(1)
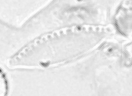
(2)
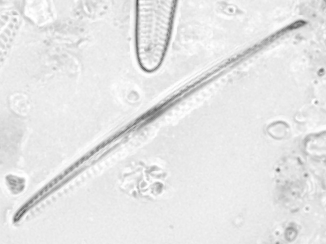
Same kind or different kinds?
Different: the first is Nitzschia, the second Navicula.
